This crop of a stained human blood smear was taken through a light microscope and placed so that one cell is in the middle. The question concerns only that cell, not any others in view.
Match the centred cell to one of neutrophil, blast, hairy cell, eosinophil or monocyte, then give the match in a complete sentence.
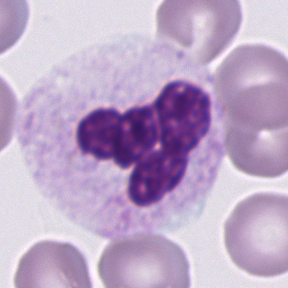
In this crop, the cell at the very middle is a neutrophil.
